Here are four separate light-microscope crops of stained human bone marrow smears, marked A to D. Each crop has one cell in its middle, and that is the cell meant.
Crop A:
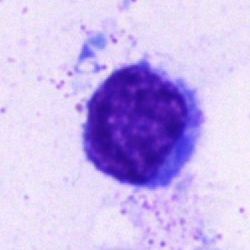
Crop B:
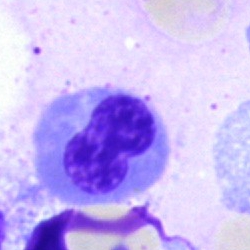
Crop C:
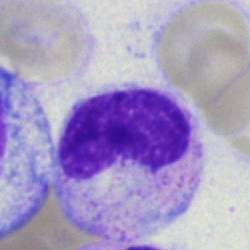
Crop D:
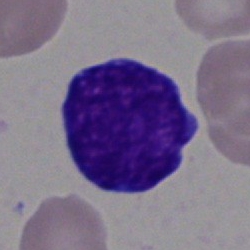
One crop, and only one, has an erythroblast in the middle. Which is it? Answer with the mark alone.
B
